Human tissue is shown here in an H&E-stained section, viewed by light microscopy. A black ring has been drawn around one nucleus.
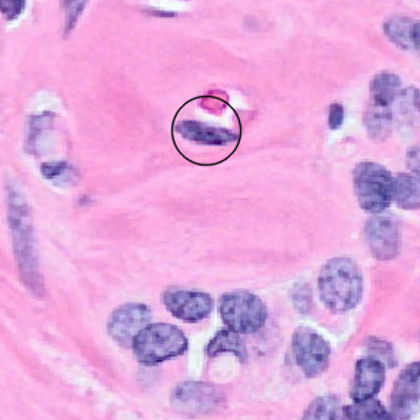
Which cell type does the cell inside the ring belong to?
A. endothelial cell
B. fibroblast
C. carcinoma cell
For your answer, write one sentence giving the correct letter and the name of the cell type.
Option A names it right: the cell inside the ring is an endothelial cell.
